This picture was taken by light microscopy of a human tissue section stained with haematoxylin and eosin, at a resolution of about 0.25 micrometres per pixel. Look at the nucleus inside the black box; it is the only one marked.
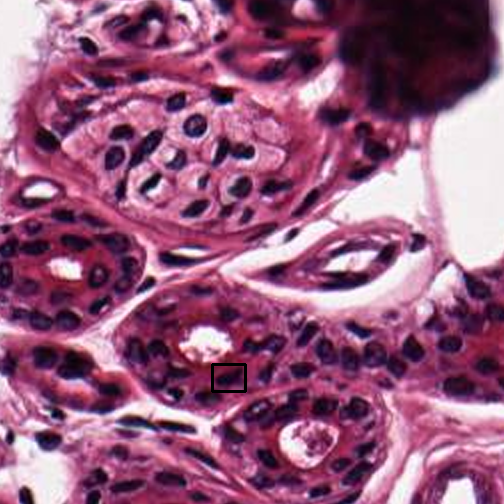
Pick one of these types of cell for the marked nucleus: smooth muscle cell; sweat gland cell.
sweat gland cell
